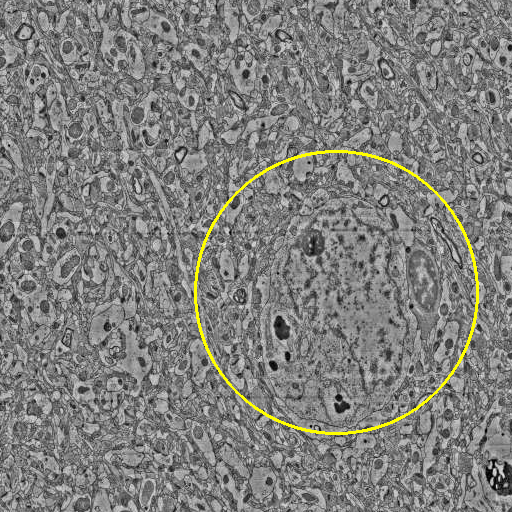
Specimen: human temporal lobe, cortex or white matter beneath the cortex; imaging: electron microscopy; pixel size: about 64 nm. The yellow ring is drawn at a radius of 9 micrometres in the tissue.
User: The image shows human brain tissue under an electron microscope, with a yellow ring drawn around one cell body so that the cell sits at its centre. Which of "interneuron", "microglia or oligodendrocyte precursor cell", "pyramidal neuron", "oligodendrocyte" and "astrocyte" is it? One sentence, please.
At the centre of the ring sits an interneuron.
